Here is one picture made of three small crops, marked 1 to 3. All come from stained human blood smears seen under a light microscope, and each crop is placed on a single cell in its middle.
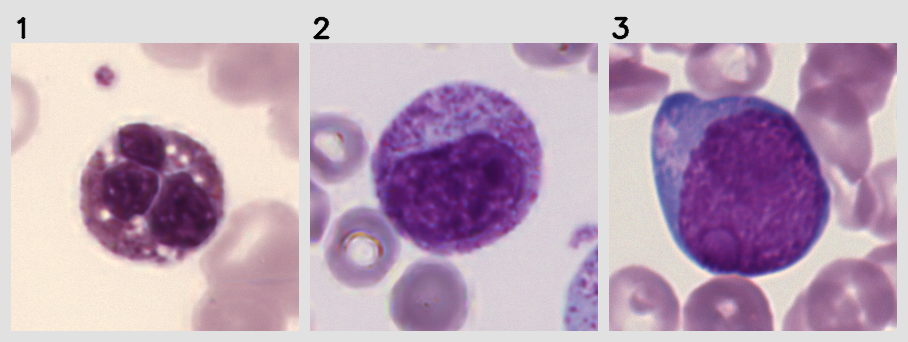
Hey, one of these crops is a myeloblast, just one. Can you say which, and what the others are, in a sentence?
Crop 3 shows a myeloblast, while in contrast crop 1 is an eosinophil and crop 2 is a myelocyte.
